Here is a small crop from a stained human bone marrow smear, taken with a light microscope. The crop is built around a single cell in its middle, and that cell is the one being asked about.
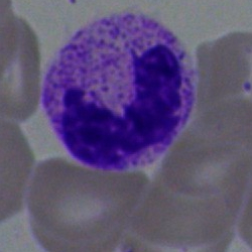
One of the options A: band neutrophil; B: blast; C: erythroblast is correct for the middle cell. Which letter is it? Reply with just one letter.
A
